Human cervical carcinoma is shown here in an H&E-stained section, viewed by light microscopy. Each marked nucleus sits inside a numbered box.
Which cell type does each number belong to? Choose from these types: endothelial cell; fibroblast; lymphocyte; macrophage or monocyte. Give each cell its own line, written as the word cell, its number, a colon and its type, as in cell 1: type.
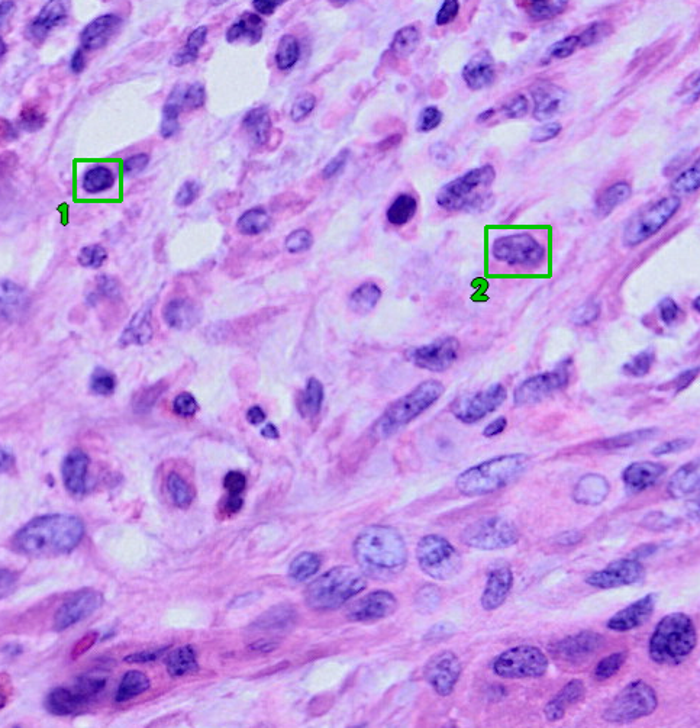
cell 1: lymphocyte
cell 2: macrophage or monocyte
